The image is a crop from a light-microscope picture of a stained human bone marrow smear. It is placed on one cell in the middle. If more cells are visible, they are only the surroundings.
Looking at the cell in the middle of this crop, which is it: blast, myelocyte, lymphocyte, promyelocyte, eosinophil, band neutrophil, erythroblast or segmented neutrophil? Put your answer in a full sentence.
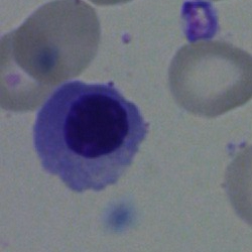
At the crop's centre, the cell is an erythroblast.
